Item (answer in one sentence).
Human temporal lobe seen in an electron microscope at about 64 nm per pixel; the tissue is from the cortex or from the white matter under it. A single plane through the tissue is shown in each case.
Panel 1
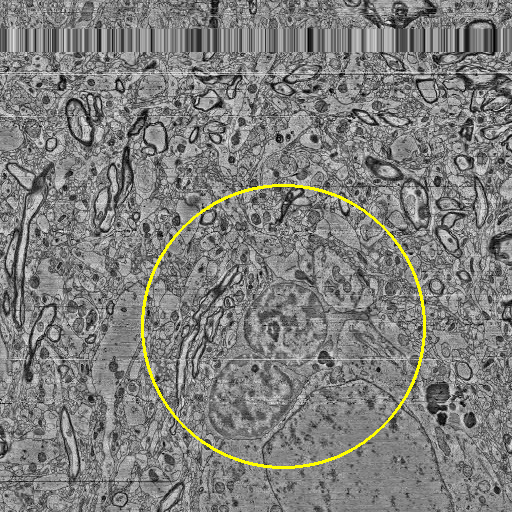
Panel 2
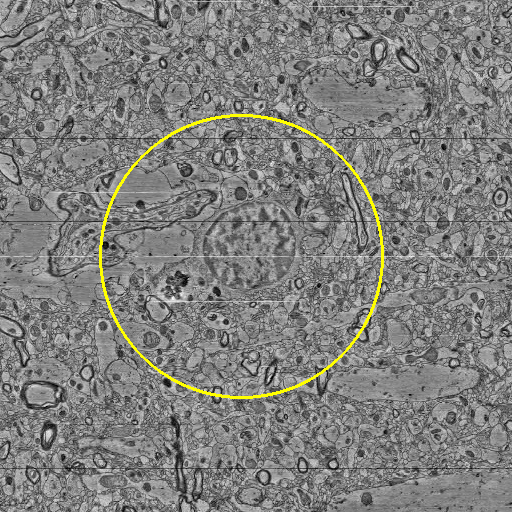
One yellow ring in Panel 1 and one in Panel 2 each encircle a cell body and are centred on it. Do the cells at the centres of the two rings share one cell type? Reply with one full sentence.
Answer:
Yes, Panel 1 and Panel 2 show cells of one type at the centres of their rings.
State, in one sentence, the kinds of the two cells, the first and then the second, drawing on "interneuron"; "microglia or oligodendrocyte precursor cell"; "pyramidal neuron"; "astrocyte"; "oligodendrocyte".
Each cell, in the first picture and the second, is an oligodendrocyte.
